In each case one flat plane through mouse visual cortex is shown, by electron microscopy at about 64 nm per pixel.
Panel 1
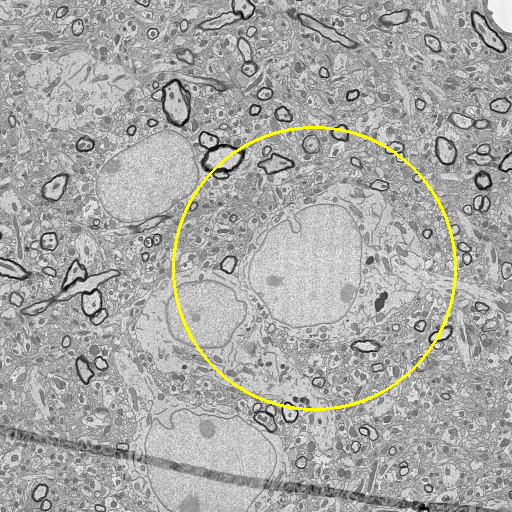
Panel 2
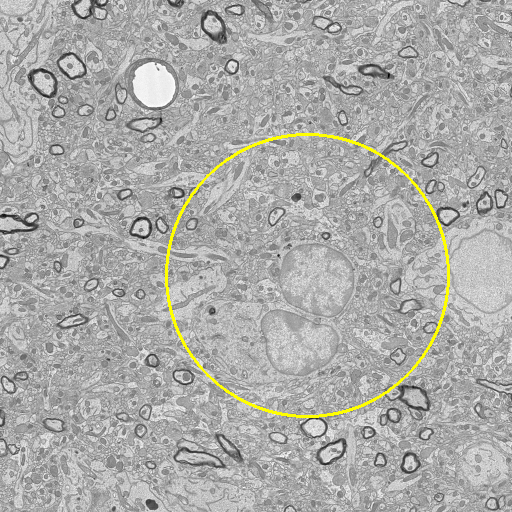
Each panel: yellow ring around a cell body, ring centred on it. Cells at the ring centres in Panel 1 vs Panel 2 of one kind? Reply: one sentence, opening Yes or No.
No, Panel 1 and Panel 2 have cells of two kinds at the ring centres.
